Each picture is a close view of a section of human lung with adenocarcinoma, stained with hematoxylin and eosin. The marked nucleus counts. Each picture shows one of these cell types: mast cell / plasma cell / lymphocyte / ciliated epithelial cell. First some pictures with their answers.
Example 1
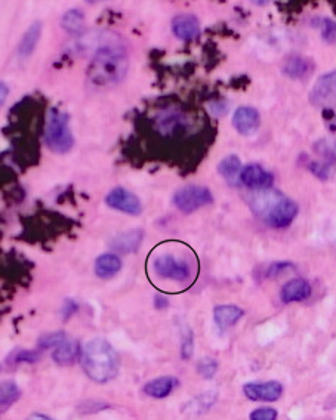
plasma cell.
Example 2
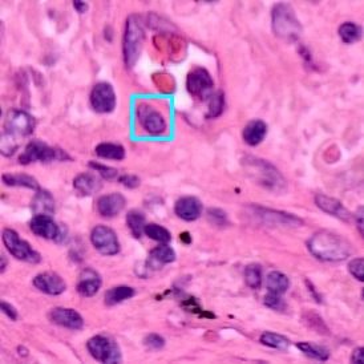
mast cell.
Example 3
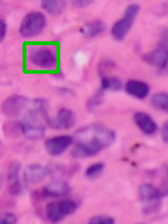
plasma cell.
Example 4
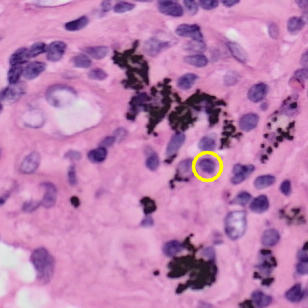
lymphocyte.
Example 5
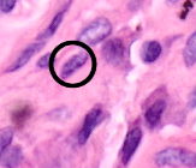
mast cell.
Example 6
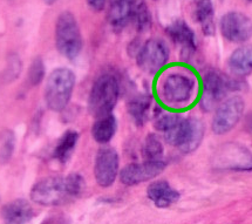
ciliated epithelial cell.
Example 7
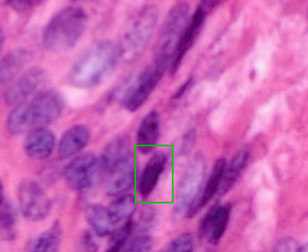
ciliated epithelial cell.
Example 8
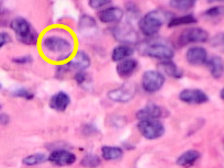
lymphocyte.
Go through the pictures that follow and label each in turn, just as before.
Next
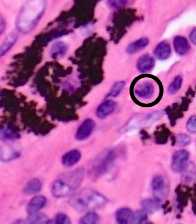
lymphocyte.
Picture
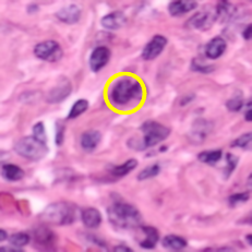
plasma cell.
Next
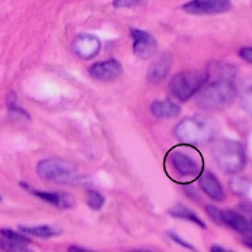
ciliated epithelial cell.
